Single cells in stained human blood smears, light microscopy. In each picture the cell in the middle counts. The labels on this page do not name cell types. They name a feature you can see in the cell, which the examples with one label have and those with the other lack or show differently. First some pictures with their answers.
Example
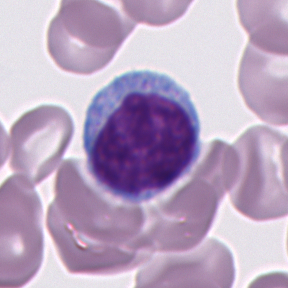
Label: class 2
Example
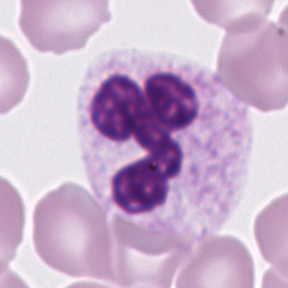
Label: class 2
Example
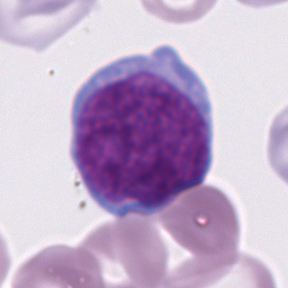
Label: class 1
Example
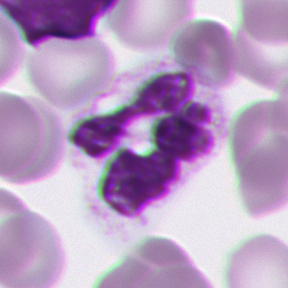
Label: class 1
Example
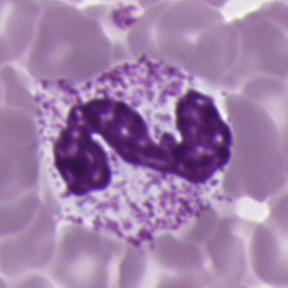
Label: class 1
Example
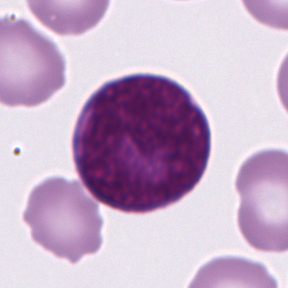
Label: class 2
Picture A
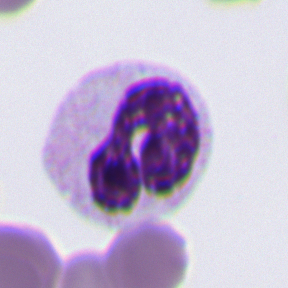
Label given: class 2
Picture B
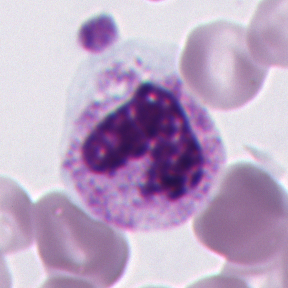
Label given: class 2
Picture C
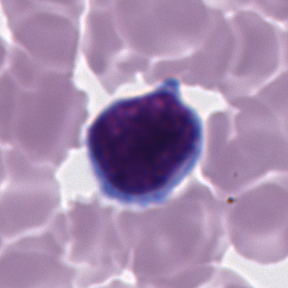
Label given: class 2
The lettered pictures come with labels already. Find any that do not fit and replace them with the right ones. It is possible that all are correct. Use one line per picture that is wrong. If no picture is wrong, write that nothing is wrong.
C is labelled class 2; correct label: class 1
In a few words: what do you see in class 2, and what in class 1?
In class 2: smooth outline. In class 1: ragged outline or projections.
